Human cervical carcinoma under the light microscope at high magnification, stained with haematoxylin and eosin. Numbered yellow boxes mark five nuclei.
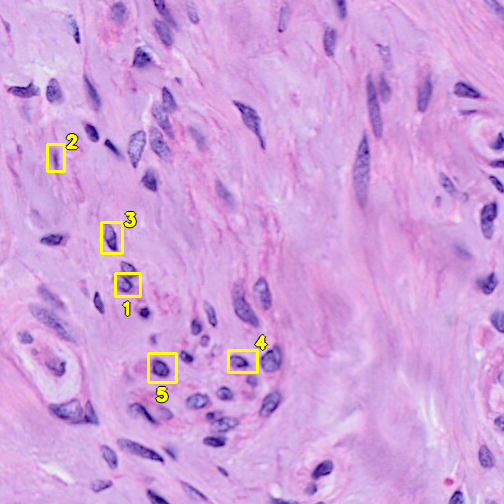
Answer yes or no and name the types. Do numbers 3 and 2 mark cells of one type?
Yes, both are fibroblasts.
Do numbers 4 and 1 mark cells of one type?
Yes, both are smooth muscle cells.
